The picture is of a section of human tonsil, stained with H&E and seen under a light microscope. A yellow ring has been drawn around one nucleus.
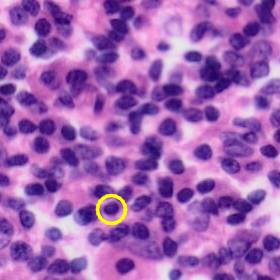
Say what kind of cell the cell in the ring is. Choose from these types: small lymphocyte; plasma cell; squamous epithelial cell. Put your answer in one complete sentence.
Within this tissue, the cell in the ring is a small lymphocyte.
